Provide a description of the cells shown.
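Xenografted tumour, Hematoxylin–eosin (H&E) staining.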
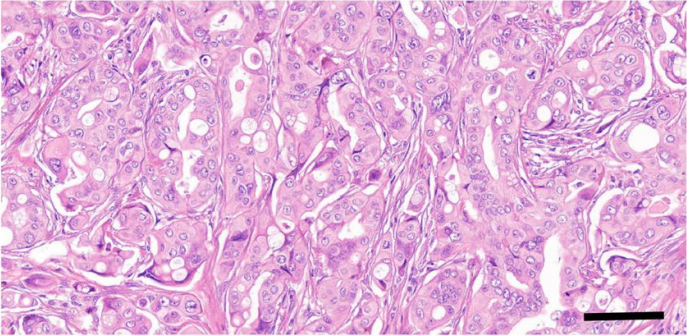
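The cells have ample pale pink cytoplasm and round to oval pale nuclei, many with a visible nucleolus. Small round or irregular open lumens and clear vacuoles lie within the cell groups, giving a glandular look, though the glands are poorly formed. Thin strands of pink fibrous stroma with slender nuclei run between the clusters. The pattern resembles a moderately to poorly differentiated gland-forming carcinoma.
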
